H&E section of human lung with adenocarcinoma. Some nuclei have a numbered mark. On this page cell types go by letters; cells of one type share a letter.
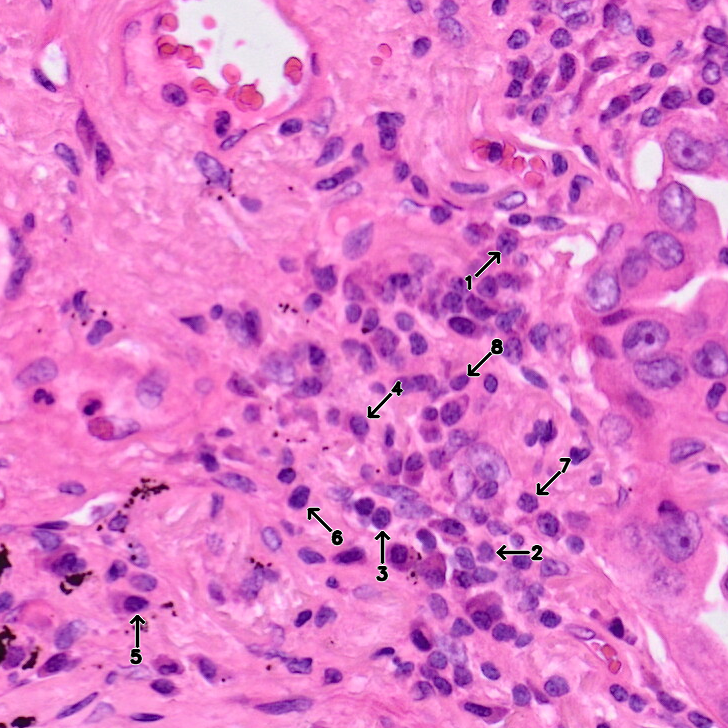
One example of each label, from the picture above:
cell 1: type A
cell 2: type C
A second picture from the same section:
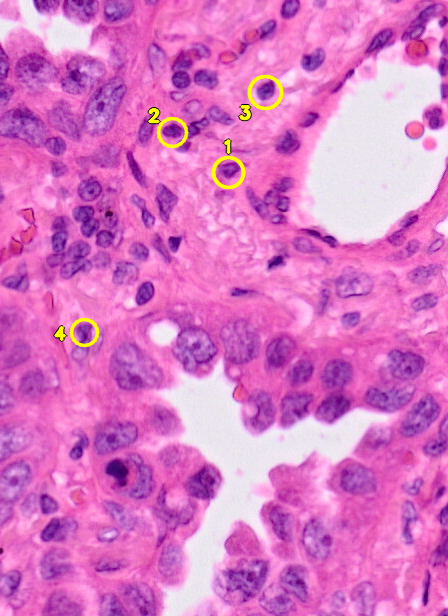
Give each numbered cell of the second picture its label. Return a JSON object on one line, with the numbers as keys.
{"1": "type A", "2": "type C", "3": "type C", "4": "type C"}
